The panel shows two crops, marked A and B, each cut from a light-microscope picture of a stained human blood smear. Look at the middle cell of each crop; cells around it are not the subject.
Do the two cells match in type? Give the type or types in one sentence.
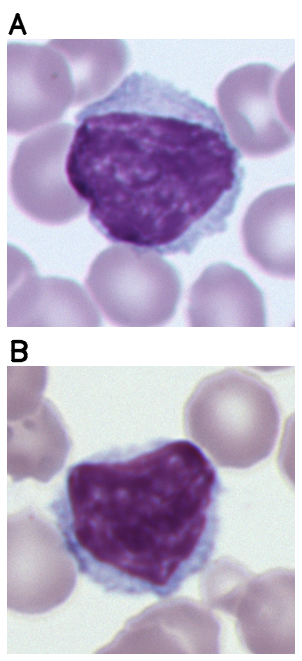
Yes, it is typical lymphocytes that occupy the middle of both crops.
